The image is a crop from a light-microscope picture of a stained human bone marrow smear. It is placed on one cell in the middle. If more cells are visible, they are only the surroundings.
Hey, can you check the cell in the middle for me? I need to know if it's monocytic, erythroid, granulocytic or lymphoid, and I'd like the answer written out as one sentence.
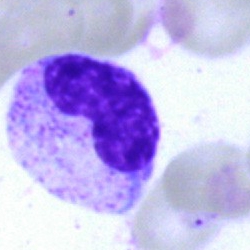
The cell found in the middle of this crop is granulocytic in lineage.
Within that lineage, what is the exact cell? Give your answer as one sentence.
In this crop, the cell at the very middle is a band neutrophil.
